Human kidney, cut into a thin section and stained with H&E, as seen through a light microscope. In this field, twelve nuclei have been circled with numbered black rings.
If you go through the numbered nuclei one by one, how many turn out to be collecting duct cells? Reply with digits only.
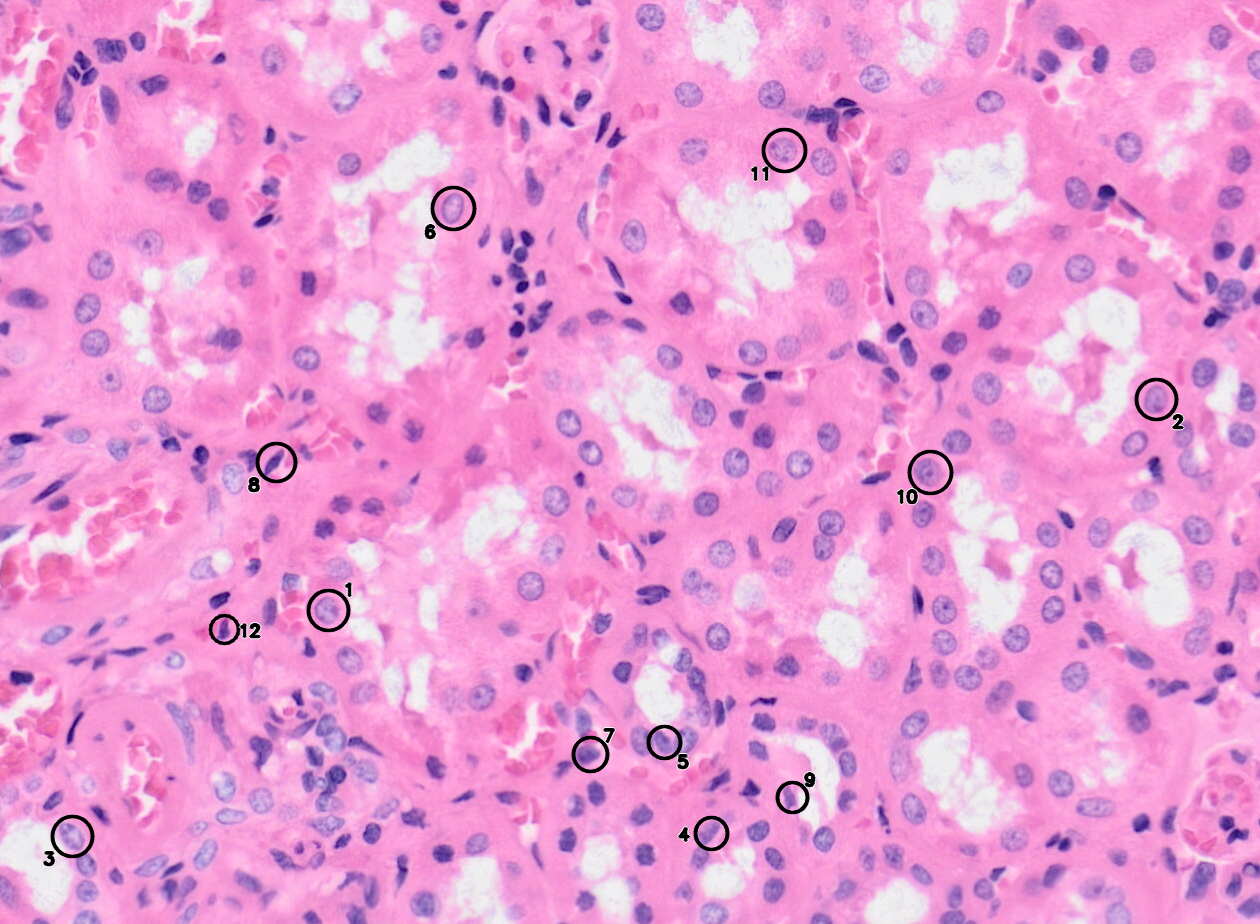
3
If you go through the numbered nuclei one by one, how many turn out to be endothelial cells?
3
